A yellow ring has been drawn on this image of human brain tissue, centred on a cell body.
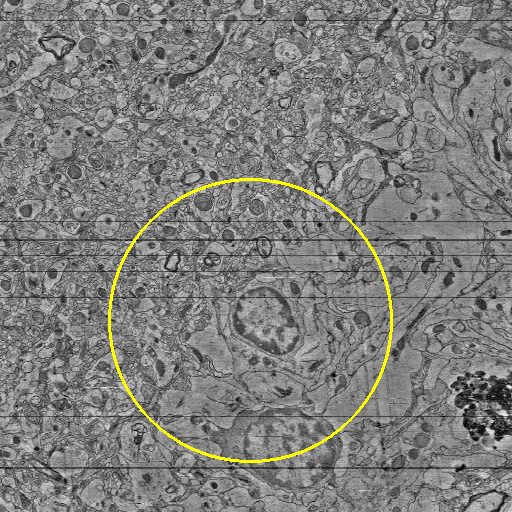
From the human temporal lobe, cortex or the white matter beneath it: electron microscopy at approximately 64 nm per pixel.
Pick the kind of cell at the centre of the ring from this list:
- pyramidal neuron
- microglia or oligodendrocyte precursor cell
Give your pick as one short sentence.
The centre of the ring holds a microglial cell or oligodendrocyte precursor cell.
